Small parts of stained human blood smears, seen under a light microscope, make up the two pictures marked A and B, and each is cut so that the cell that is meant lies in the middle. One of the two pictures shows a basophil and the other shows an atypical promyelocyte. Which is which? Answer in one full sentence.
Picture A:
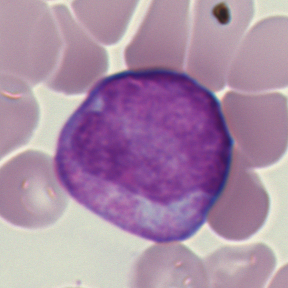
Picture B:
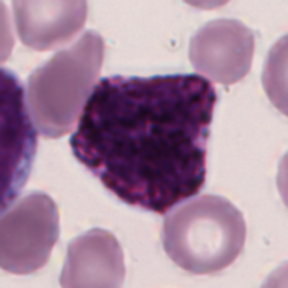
Picture A is of an atypical promyelocyte, and picture B is of a basophil.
